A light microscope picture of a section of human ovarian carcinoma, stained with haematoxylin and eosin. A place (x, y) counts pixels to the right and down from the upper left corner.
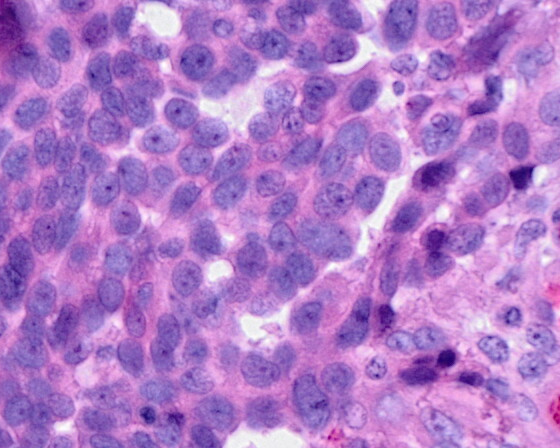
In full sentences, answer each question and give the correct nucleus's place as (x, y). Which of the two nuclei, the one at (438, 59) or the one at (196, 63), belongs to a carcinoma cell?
Between the pair, the nucleus at (196, 63) belongs to a carcinoma cell.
